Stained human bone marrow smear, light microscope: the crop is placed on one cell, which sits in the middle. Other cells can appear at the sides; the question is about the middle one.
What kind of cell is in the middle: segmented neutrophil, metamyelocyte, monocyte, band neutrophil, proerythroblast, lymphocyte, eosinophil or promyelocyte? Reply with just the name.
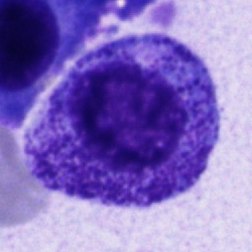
promyelocyte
